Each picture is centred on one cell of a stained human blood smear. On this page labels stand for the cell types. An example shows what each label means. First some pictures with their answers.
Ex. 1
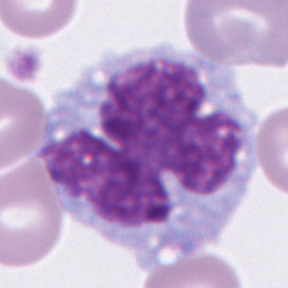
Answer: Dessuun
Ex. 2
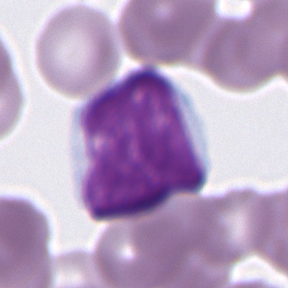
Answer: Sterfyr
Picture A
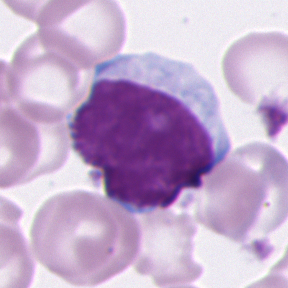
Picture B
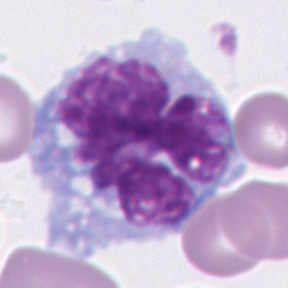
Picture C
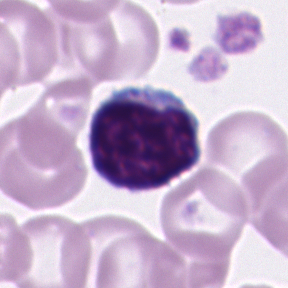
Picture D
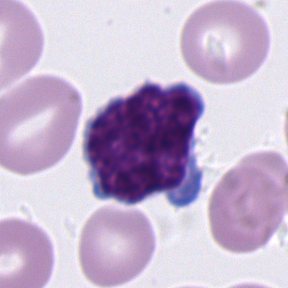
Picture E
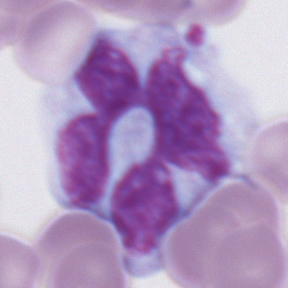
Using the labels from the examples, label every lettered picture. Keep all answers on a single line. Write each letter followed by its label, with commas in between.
A Sterfyr, B Dessuun, C Sterfyr, D Sterfyr, E Dessuun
